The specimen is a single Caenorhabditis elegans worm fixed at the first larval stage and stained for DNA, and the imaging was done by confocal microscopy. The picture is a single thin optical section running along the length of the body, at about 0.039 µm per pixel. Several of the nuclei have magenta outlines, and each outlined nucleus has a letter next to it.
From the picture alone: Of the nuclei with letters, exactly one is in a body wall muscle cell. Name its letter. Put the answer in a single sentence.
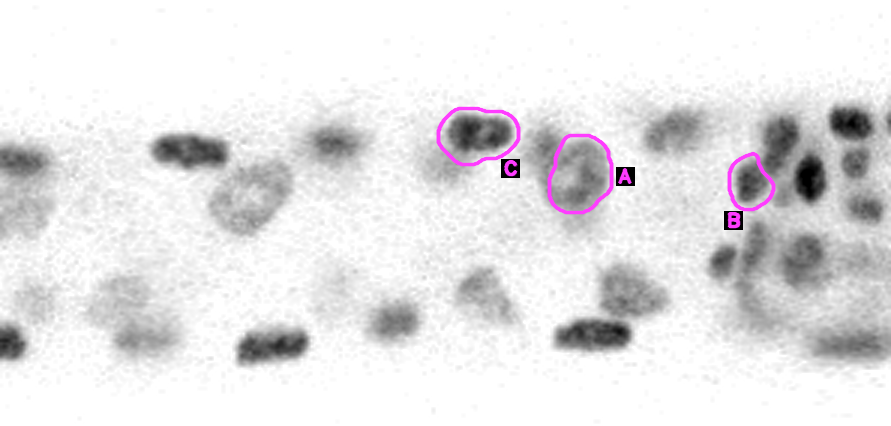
It is C that belongs to a body wall muscle cell.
